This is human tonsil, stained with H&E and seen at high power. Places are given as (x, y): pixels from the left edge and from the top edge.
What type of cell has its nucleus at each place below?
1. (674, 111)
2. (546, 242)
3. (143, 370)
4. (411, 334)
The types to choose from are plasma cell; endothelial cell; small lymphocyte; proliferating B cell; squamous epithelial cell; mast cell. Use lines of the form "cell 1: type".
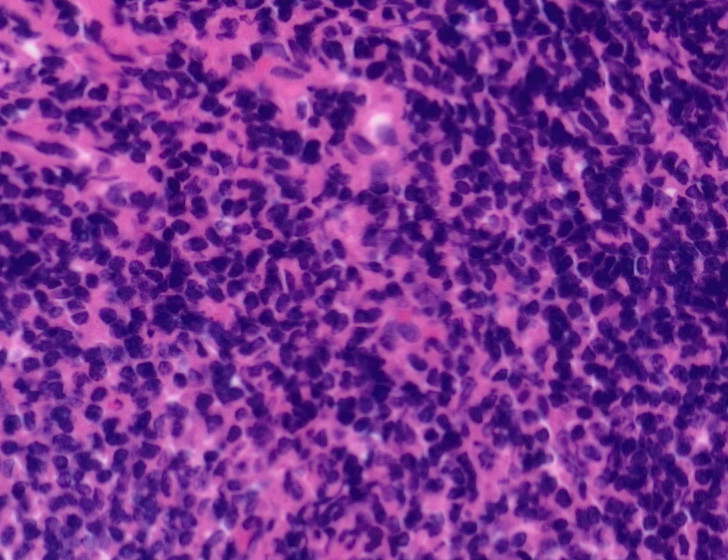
cell 1: small lymphocyte
cell 2: small lymphocyte
cell 3: small lymphocyte
cell 4: endothelial cell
